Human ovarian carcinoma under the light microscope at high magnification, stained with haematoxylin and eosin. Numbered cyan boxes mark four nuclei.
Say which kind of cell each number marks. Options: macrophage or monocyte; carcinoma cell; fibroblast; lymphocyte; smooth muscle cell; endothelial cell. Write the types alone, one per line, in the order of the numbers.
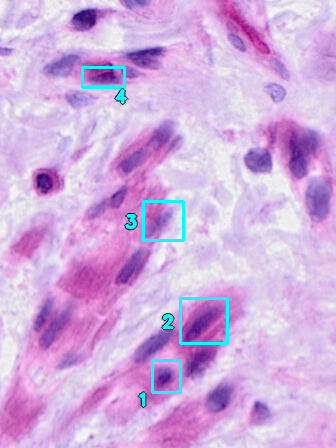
smooth muscle cell
smooth muscle cell
smooth muscle cell
endothelial cell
